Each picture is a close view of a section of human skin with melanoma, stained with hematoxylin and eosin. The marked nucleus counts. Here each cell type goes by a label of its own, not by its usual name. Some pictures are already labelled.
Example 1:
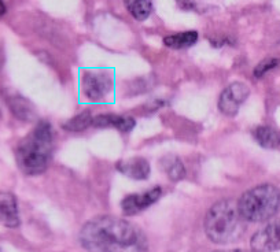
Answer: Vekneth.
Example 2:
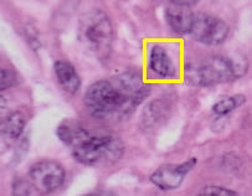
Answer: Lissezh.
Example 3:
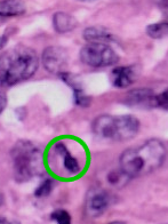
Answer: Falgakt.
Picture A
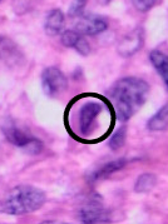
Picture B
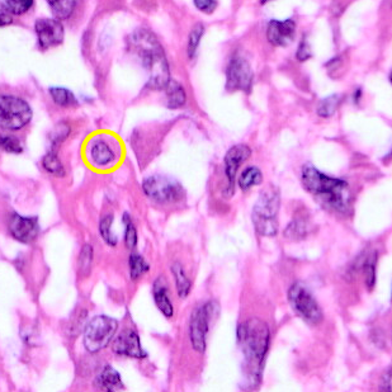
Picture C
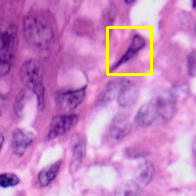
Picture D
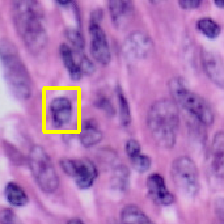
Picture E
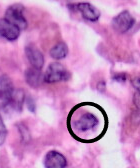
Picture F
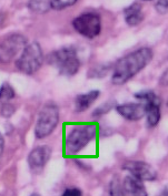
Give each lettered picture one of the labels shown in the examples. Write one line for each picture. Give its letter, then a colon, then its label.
A: Vekneth.
B: Lissezh.
C: Lissezh.
D: Falgakt.
E: Lissezh.
F: Vekneth.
